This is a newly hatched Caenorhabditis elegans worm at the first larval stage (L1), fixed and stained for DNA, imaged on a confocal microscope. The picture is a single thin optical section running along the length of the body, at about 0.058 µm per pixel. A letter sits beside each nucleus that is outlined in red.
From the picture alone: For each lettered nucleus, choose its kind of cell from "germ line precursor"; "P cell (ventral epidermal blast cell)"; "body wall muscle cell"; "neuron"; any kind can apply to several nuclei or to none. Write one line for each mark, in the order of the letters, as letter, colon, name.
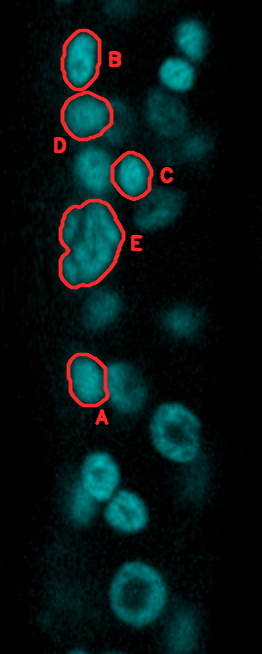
A: body wall muscle cell
B: body wall muscle cell
C: neuron
D: body wall muscle cell
E: germ line precursor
